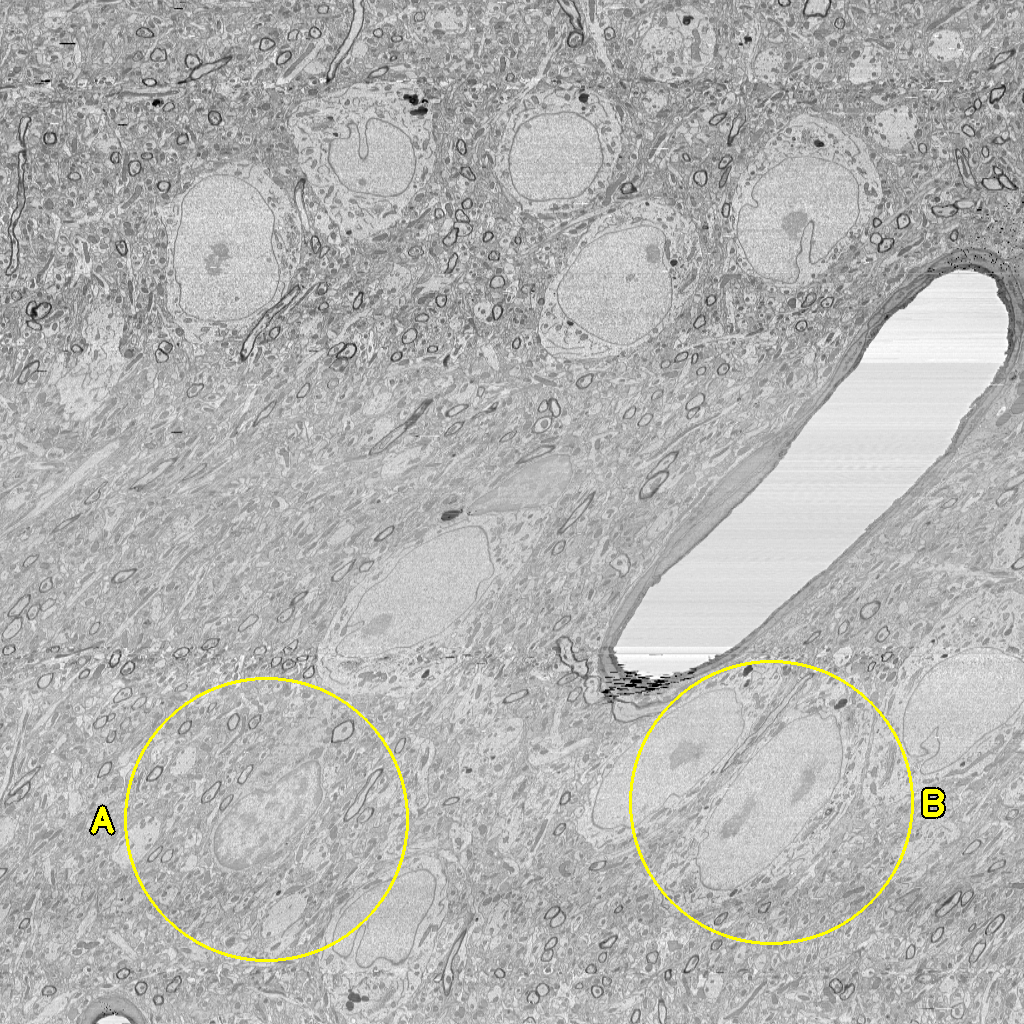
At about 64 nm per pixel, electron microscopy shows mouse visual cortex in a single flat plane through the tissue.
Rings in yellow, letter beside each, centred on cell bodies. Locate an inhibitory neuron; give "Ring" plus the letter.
Ring B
